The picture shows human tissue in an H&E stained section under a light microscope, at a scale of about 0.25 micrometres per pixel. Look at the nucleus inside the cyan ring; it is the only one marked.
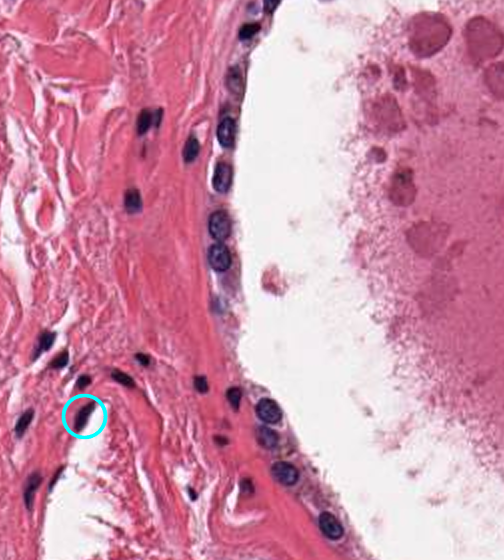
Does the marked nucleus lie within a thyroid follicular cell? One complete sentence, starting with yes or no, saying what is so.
No, it is a supporting cell whose nucleus is marked, not a thyroid follicular cell.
